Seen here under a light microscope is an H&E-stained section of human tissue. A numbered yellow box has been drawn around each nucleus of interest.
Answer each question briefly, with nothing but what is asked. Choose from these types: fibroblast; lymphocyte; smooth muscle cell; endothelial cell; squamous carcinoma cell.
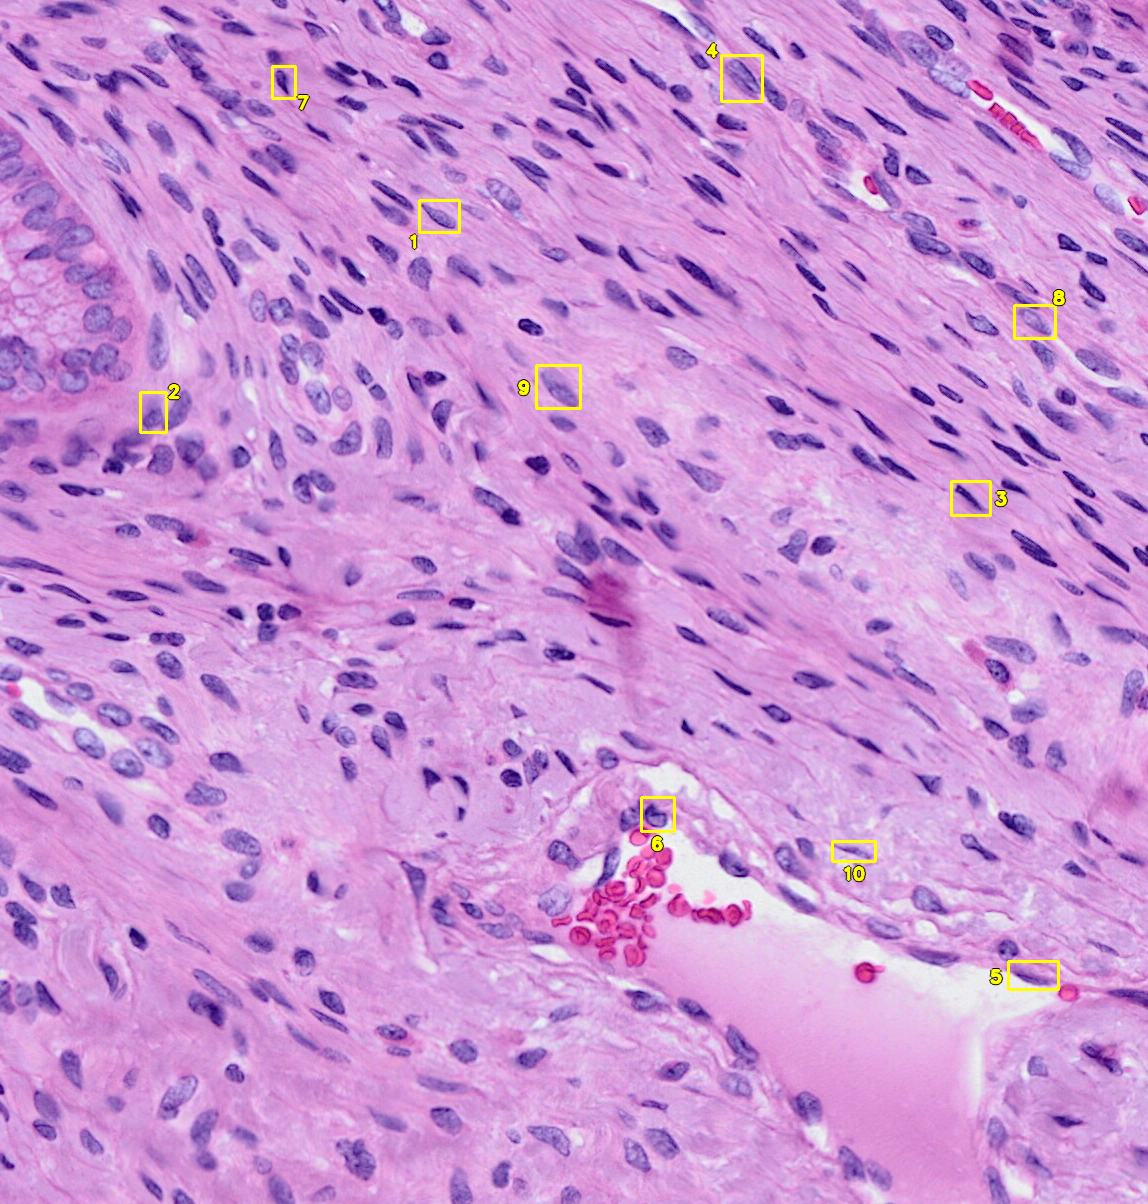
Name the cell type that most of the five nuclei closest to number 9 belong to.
fibroblast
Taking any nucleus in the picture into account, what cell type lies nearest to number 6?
endothelial cell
